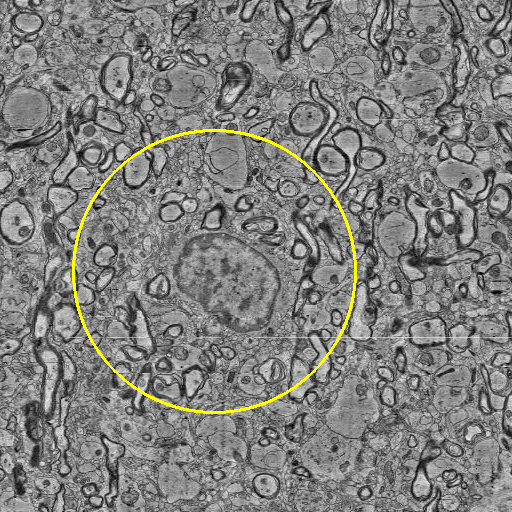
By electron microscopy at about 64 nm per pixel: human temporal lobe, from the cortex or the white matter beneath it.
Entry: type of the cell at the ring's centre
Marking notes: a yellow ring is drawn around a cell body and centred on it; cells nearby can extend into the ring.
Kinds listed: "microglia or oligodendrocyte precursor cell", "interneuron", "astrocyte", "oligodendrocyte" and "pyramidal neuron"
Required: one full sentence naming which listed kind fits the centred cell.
My entry names an oligodendrocyte as the cell whose body the yellow ring centres on.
